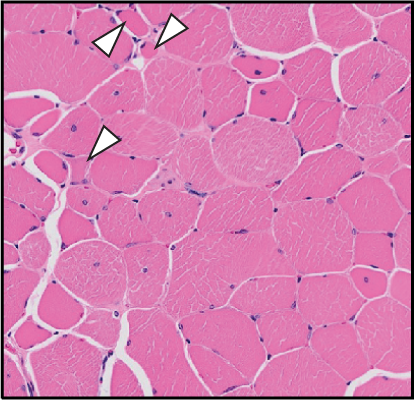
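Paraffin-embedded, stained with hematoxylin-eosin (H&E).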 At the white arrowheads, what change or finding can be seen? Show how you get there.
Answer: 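Small atrophic fibers. The arrowheads point at myofiber profiles much smaller than their neighbours. The pointed fibers are pink, polygonal cross-sections among larger fibers.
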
